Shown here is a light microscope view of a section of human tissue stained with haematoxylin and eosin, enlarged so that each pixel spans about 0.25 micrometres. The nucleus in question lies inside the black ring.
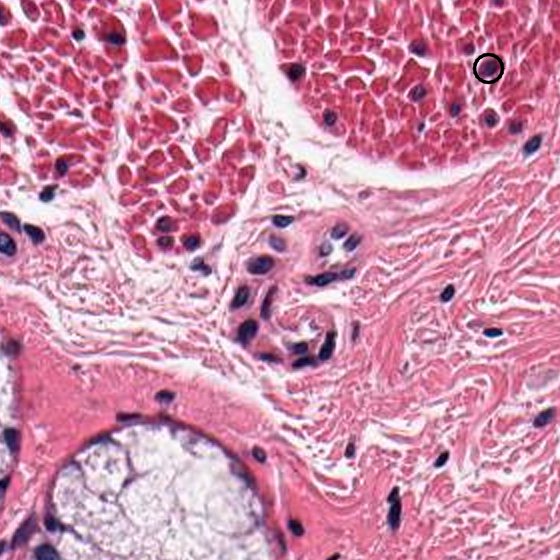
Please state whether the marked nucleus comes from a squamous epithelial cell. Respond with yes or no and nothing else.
no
